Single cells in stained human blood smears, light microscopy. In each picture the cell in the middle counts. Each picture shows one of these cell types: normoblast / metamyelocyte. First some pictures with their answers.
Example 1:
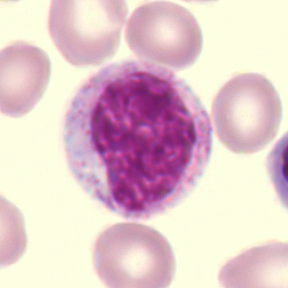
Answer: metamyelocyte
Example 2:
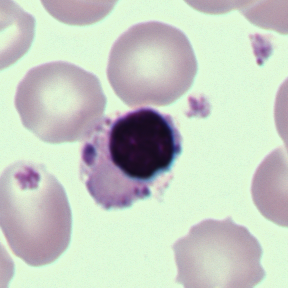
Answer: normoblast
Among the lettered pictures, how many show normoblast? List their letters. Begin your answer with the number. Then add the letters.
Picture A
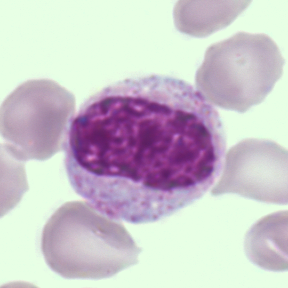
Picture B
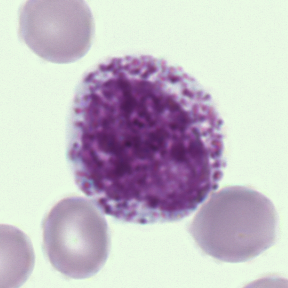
0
